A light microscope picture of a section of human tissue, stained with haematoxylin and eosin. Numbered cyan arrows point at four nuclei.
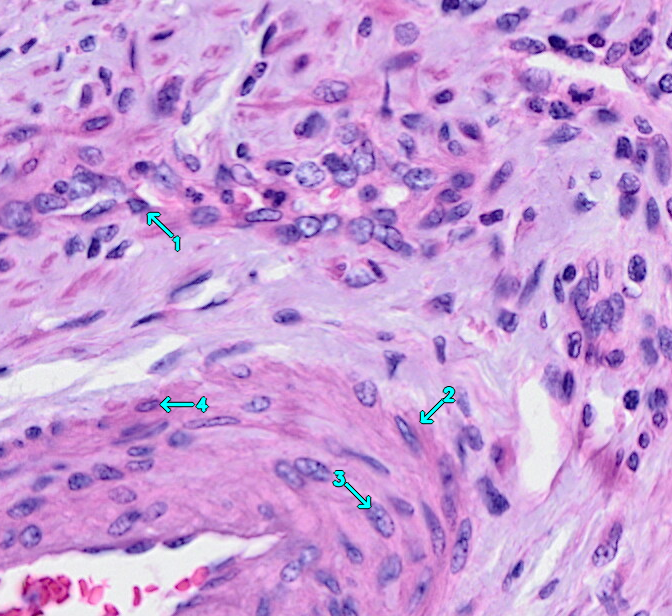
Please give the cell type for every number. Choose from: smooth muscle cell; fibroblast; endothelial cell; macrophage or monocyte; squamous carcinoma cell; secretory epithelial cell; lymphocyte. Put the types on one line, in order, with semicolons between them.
endothelial cell; smooth muscle cell; smooth muscle cell; smooth muscle cell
